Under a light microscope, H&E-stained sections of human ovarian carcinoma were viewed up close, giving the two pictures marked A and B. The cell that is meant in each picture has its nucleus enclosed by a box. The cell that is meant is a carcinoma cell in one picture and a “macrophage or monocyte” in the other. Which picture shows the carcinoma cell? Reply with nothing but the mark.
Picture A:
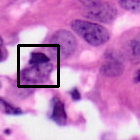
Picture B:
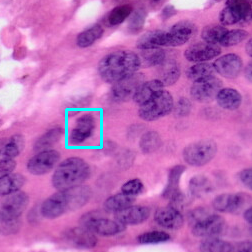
A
